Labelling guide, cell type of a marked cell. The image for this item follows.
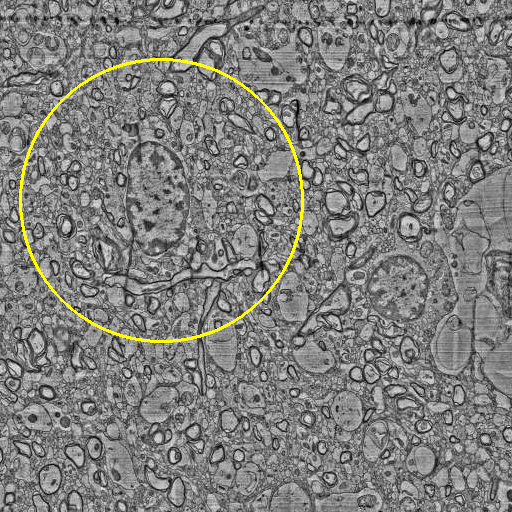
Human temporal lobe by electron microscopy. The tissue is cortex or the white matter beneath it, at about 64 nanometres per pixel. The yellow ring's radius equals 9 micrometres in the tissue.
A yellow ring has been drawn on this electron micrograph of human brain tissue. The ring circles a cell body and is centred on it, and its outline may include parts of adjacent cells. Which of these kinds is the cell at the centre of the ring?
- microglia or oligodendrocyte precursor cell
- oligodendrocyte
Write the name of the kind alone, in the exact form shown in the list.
microglia or oligodendrocyte precursor cell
